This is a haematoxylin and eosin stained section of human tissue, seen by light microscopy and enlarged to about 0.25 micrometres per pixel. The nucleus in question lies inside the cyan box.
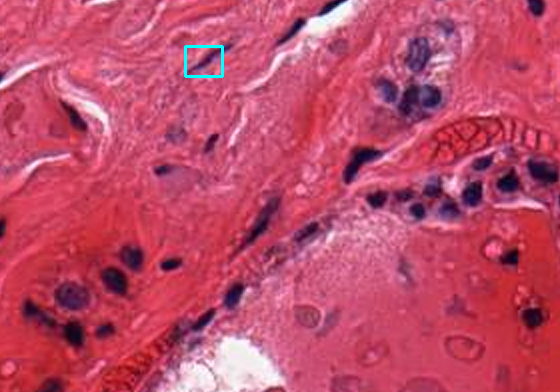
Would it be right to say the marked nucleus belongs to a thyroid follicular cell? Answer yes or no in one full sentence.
No, rather than a thyroid follicular cell, it is a supporting cell that contains the marked nucleus.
